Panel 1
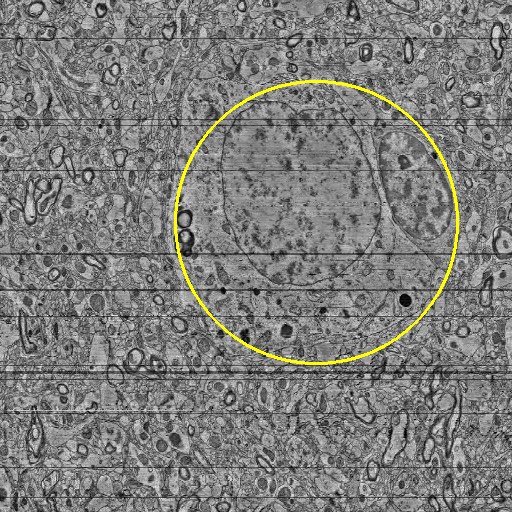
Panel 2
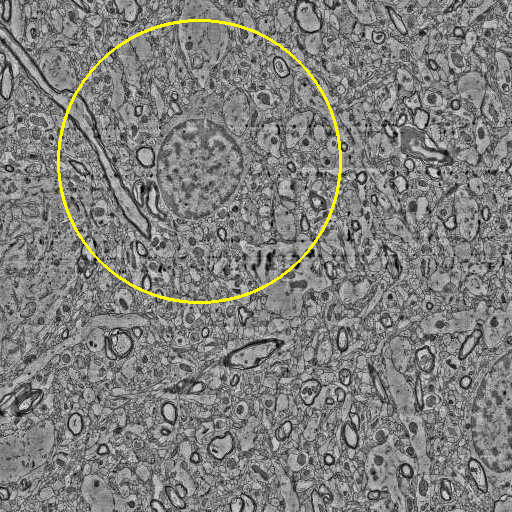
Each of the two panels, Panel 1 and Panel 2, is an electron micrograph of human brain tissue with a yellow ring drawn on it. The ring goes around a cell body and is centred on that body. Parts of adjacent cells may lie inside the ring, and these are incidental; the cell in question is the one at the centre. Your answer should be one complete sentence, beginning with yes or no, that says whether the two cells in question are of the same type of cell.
No, the two cells are of two types.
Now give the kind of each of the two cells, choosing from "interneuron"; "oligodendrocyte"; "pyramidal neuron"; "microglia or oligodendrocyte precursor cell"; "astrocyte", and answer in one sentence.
The cell in the first picture is a pyramidal neuron, and the cell in the second is an oligodendrocyte.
